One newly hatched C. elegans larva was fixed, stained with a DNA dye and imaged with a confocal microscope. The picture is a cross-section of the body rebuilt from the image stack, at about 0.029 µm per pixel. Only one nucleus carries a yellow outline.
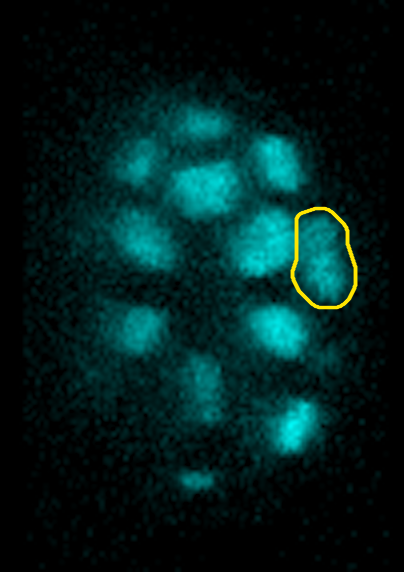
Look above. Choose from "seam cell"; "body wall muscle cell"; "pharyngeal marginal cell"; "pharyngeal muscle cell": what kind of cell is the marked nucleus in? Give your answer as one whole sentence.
This nucleus is from a seam cell.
